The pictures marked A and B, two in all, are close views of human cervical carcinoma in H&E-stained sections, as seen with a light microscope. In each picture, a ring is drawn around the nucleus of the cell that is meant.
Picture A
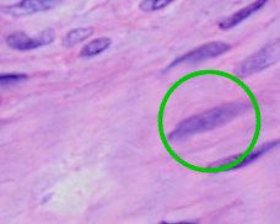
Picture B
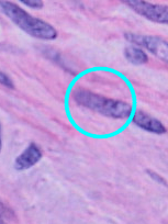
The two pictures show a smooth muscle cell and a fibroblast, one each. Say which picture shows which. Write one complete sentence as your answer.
The cell in picture A is a fibroblast, and the one in picture B is a smooth muscle cell.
